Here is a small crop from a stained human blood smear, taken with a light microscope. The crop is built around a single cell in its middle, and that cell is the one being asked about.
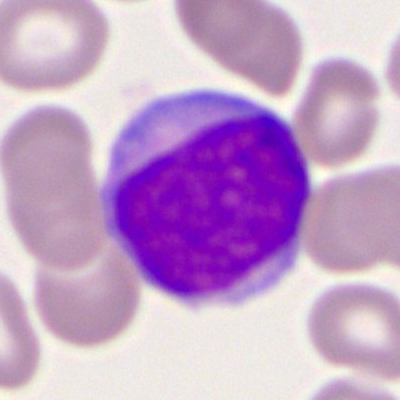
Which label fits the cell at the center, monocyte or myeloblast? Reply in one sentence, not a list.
The cell centered in this field of view is a myeloblast.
